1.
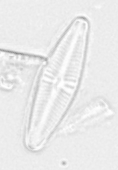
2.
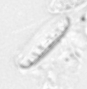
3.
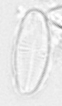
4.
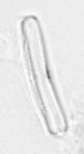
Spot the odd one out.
Picture 2 (Nitzschia among Achnanthidium).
